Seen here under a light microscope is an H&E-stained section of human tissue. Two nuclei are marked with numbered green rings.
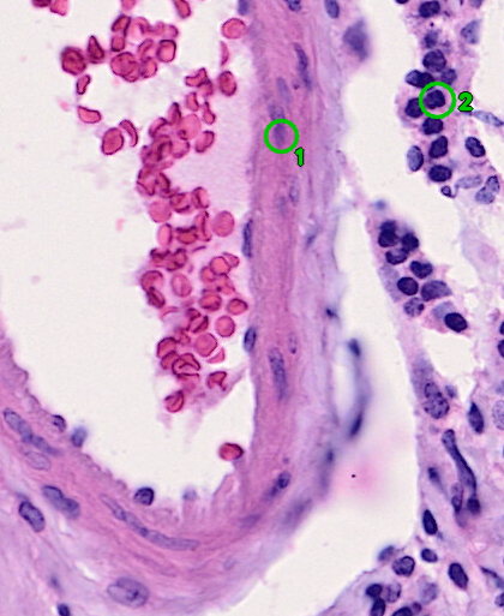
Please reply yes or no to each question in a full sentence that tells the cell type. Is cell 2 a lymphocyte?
Yes, the numbered cell 2 is a lymphocyte.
